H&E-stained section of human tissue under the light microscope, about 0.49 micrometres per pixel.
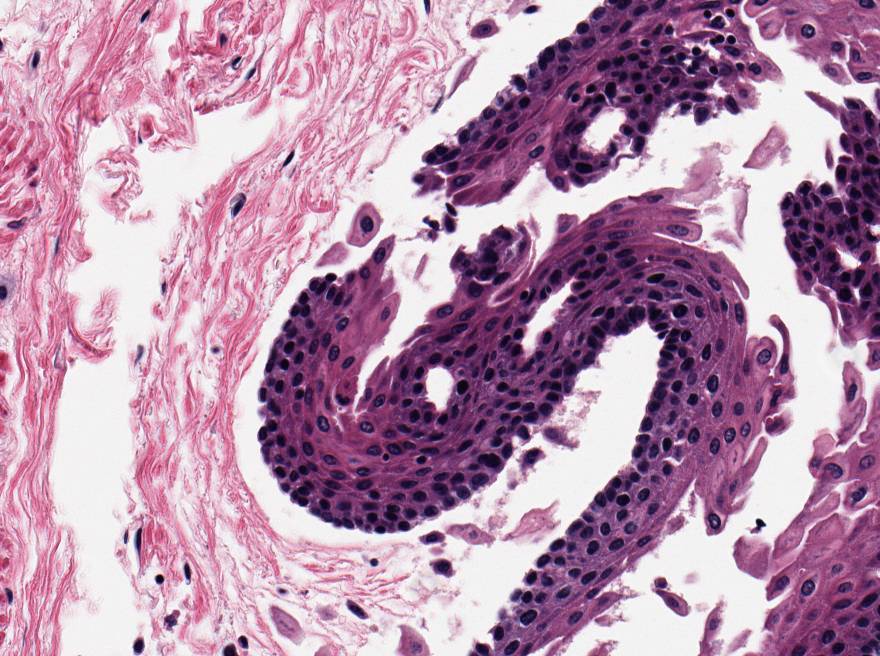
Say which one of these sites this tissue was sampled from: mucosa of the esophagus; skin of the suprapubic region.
mucosa of the esophagus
